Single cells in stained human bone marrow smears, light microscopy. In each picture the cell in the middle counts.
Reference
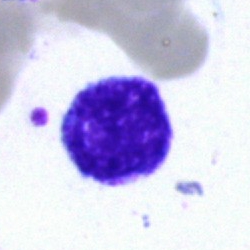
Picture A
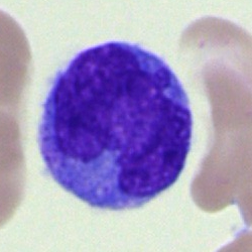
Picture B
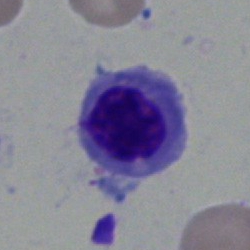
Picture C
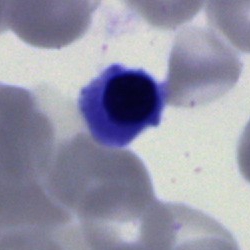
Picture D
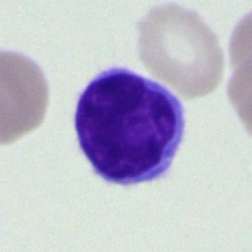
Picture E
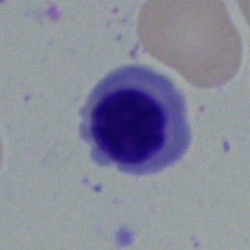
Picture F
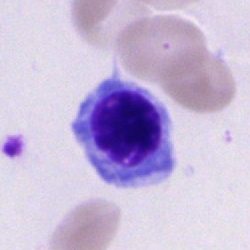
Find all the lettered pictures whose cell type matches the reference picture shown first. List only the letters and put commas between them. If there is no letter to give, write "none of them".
D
